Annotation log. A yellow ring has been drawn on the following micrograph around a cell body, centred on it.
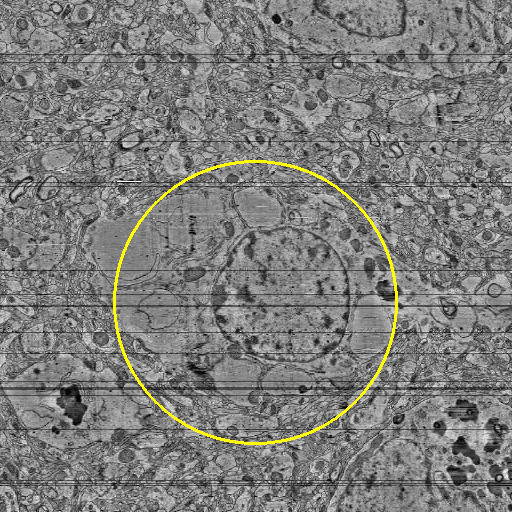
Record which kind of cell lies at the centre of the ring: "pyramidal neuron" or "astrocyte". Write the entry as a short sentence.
The cell the ring is centred on is an astrocyte.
